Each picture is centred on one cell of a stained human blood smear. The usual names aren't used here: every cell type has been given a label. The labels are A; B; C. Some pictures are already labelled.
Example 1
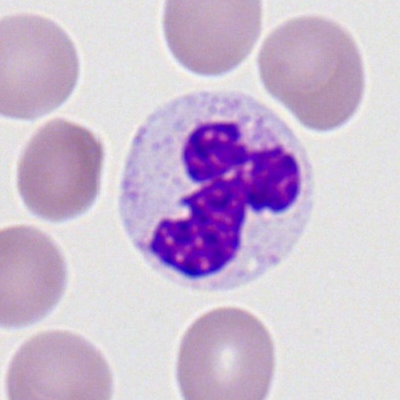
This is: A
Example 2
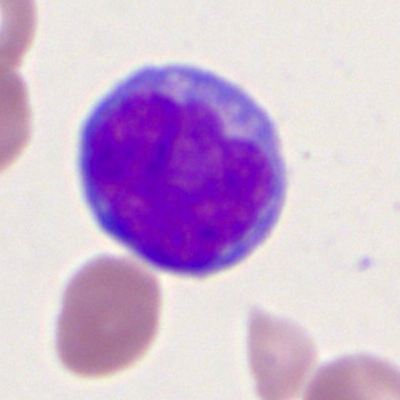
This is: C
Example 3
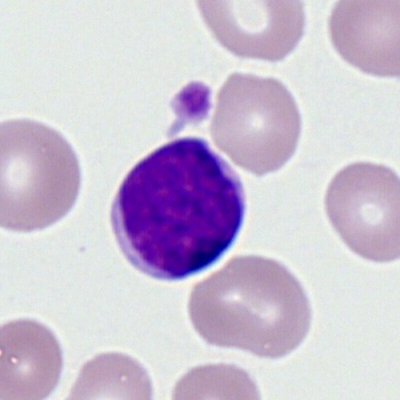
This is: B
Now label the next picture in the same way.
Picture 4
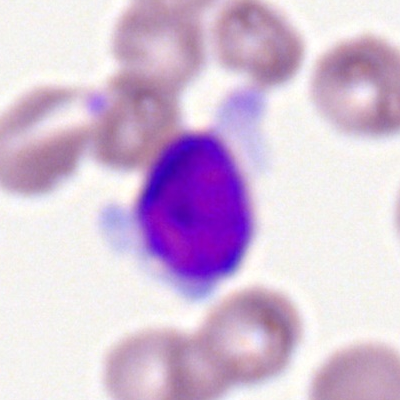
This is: B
